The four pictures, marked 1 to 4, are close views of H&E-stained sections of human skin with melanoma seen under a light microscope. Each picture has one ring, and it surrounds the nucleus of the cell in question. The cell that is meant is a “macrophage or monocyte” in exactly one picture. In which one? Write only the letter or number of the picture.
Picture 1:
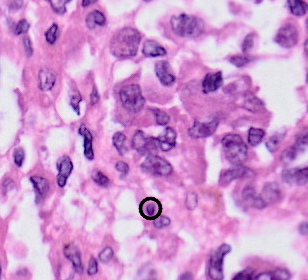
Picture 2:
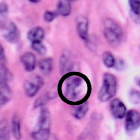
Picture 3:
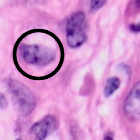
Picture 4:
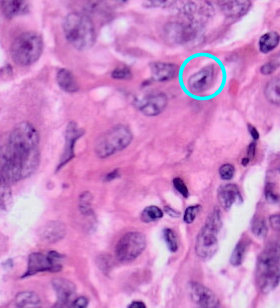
1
